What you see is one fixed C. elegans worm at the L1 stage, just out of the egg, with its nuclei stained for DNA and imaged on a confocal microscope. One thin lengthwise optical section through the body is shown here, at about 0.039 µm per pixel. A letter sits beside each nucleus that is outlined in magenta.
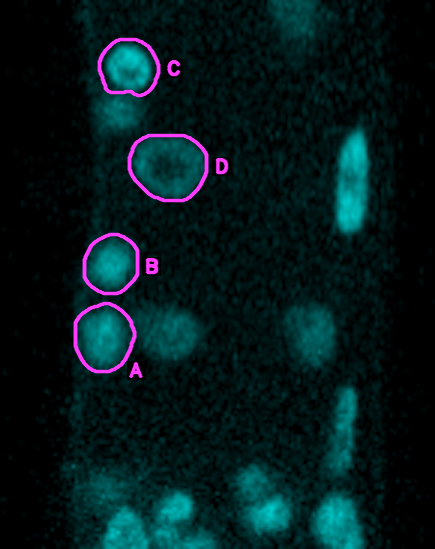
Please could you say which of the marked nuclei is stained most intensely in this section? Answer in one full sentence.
C is the most strongly stained.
